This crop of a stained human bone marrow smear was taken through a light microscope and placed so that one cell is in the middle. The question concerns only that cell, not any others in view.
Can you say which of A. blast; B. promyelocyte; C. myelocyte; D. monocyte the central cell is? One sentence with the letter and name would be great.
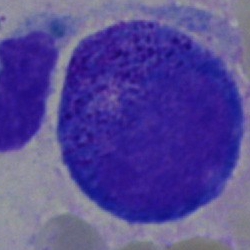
The one cell at the centre is a promyelocyte, as correctly stated in option B.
